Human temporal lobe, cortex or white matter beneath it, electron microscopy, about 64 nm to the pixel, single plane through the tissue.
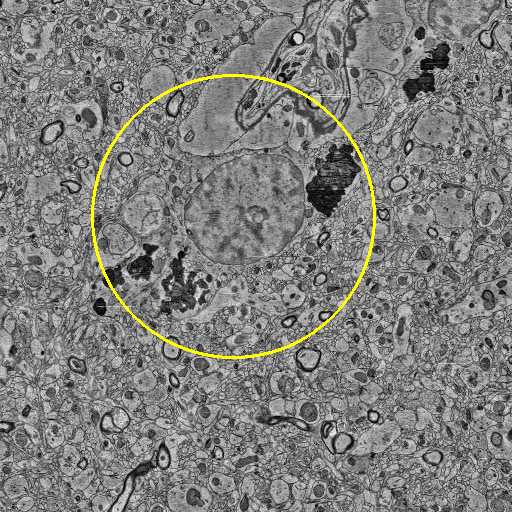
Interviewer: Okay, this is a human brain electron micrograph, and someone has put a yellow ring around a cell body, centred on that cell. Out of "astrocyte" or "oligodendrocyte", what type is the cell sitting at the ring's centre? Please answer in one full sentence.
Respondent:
The cell at the centre of the yellow ring in this picture is an oligodendrocyte.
